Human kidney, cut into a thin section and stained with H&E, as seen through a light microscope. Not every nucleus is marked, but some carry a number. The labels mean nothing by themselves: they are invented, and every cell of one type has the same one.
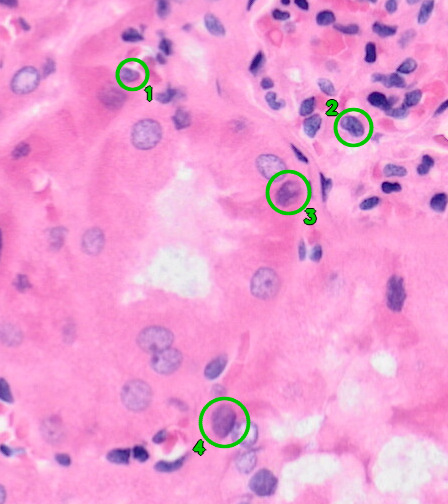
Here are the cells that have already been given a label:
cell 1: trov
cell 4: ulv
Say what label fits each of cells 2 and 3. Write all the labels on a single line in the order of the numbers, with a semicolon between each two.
trov; ulv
